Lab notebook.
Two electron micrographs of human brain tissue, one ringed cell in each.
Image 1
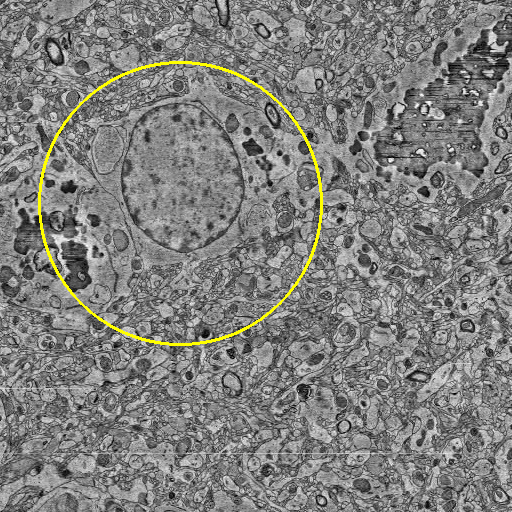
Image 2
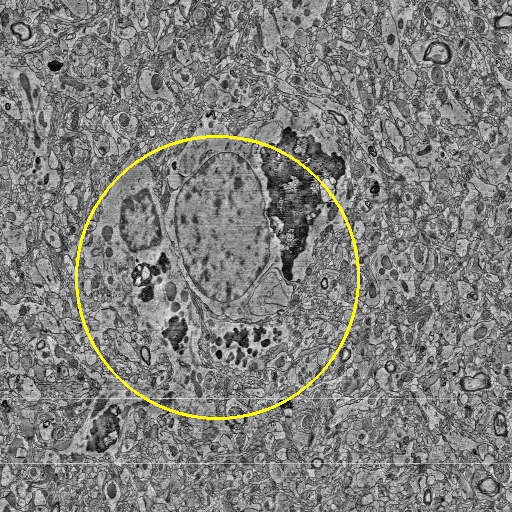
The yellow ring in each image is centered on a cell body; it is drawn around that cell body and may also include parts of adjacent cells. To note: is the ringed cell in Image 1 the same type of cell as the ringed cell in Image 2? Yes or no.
yes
